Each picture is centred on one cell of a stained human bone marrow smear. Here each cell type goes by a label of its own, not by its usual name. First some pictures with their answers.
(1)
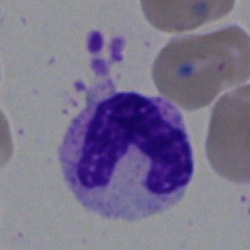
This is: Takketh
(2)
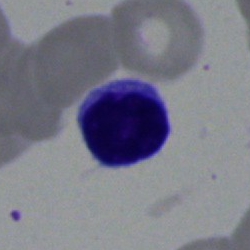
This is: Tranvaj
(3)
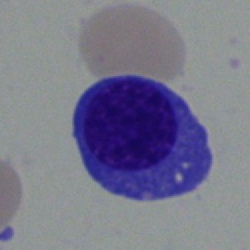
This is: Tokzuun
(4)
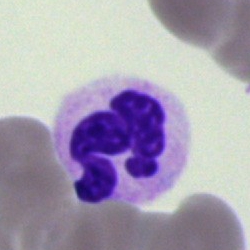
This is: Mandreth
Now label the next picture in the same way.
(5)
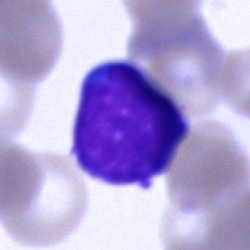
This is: Tranvaj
